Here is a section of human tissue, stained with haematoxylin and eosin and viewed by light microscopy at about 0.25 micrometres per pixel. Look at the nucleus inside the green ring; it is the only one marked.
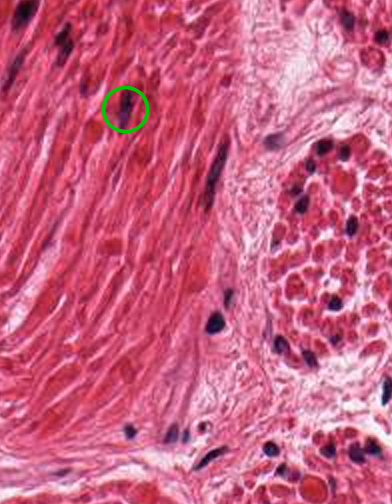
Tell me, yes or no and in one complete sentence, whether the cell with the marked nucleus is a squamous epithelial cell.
No, this marked nucleus is not one belonging to a squamous epithelial cell.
